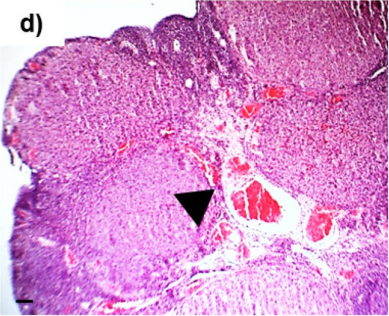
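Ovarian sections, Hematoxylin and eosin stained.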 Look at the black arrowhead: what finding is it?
marked vascular congestion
